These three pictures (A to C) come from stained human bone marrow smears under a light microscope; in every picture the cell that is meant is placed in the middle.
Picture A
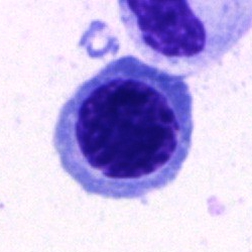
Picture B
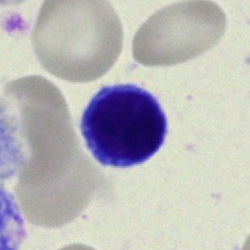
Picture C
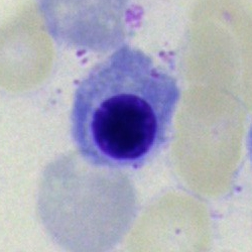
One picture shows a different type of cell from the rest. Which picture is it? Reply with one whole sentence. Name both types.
The different one is picture B; it shows a lymphocyte, whereas all the others show erythroblasts.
